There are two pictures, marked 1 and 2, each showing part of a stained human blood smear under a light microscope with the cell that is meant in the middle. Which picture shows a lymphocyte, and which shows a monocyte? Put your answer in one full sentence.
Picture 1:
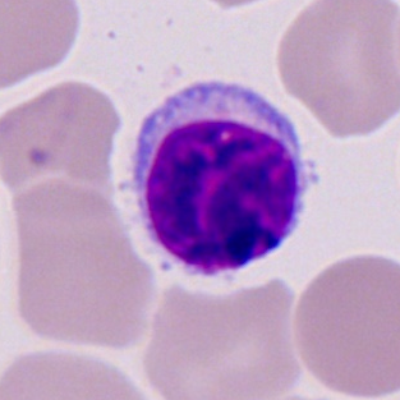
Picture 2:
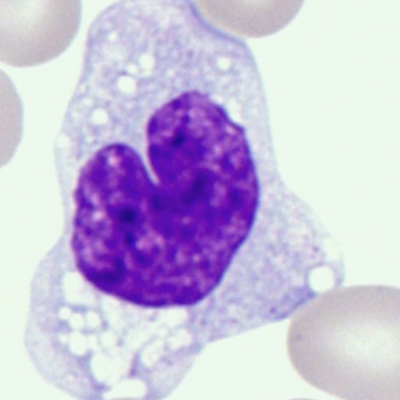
Picture 1 shows a lymphocyte and picture 2 shows a monocyte.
